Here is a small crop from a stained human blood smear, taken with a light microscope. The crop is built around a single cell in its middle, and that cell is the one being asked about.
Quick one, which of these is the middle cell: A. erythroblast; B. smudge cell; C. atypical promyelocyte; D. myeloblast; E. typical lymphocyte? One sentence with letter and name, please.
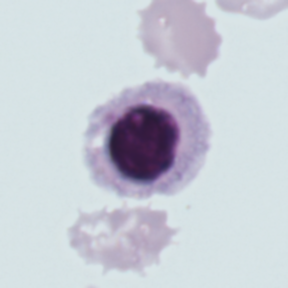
The middle cell of the crop is an erythroblast; accordingly, option A is correct.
